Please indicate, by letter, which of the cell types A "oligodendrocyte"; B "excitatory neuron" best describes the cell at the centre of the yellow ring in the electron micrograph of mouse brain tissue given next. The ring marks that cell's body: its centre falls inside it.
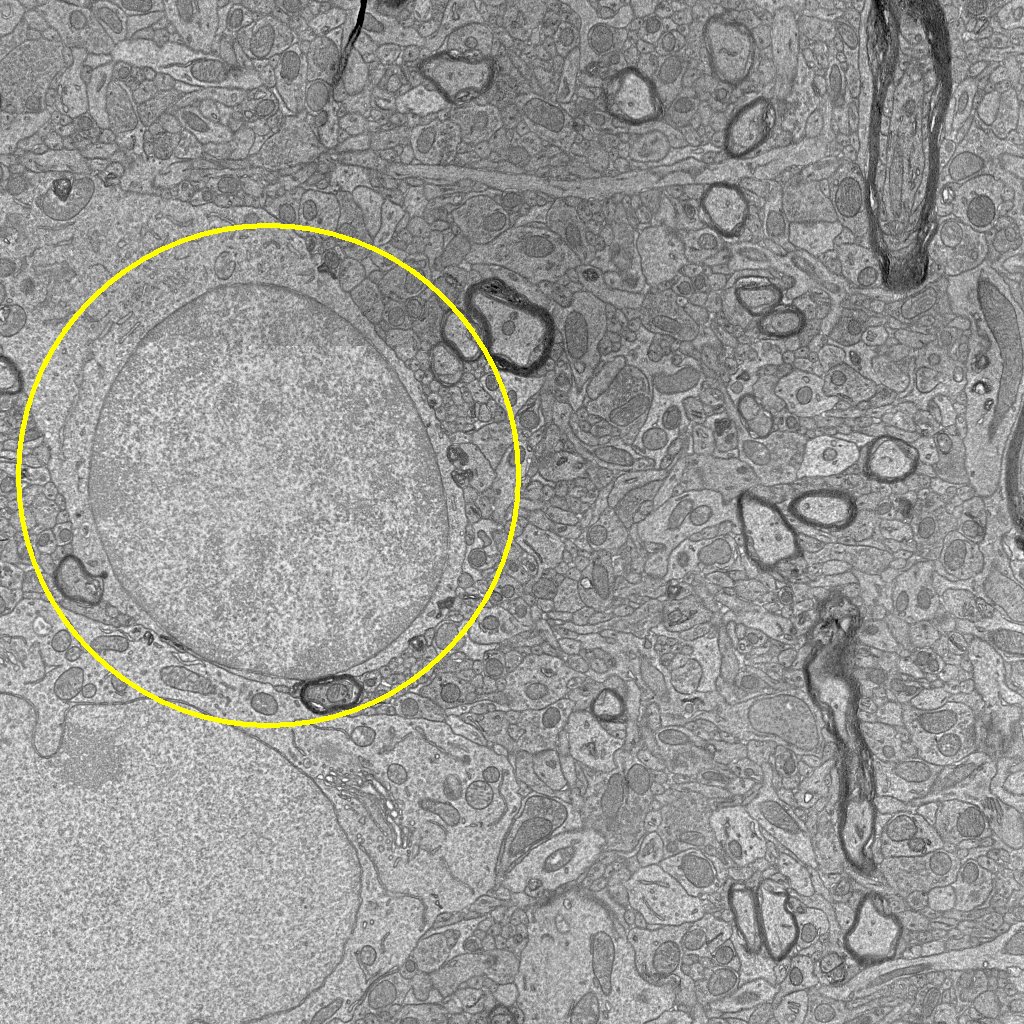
A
